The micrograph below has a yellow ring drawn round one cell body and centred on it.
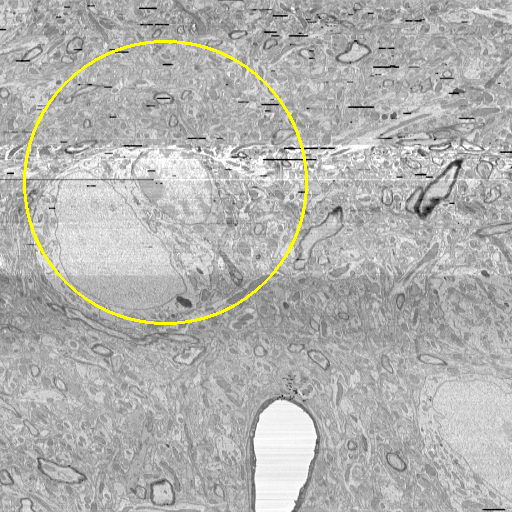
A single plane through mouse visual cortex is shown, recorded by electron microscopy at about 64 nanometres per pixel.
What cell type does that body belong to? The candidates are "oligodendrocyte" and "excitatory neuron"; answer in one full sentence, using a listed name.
This is an oligodendrocyte, the cell whose body lies at the centre of the ring.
